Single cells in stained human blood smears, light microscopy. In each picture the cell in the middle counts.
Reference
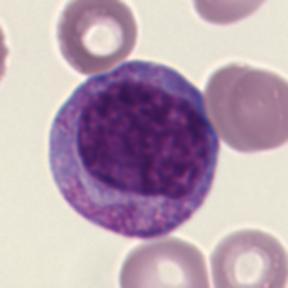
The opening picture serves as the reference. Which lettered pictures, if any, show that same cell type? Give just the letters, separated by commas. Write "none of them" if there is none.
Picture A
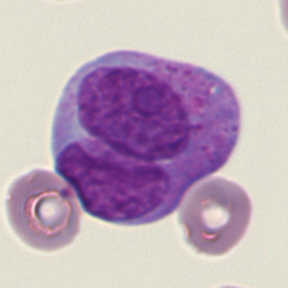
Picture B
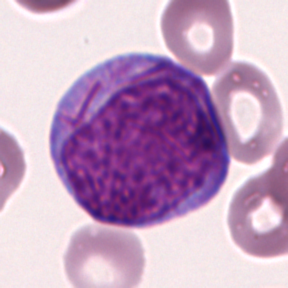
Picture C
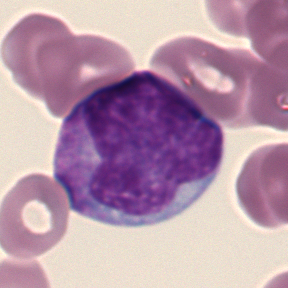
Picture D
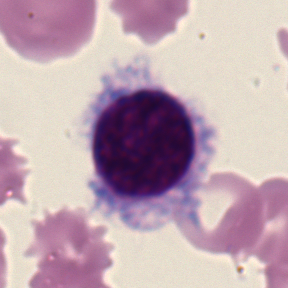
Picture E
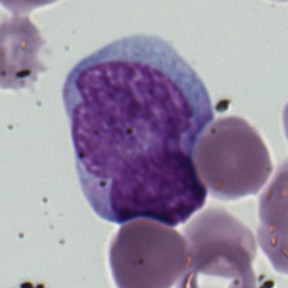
A, B, C, E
